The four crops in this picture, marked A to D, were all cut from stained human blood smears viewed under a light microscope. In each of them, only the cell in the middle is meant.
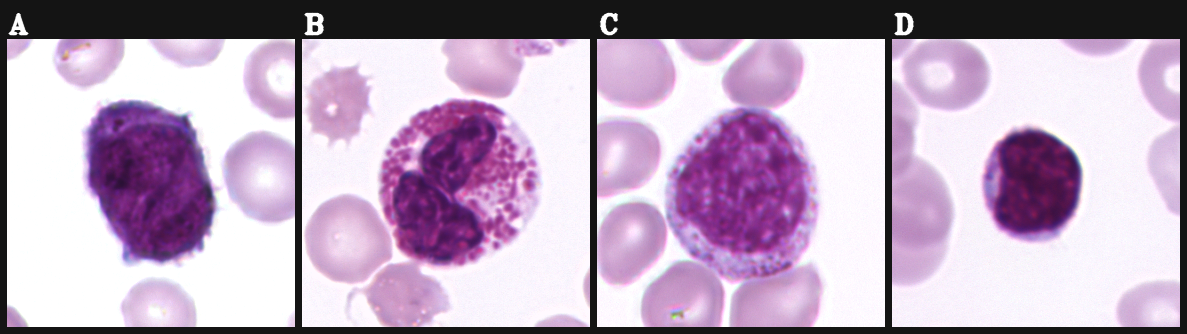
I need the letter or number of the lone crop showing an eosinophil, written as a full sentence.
Crop B is the correct crop, and it shows an eosinophil.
